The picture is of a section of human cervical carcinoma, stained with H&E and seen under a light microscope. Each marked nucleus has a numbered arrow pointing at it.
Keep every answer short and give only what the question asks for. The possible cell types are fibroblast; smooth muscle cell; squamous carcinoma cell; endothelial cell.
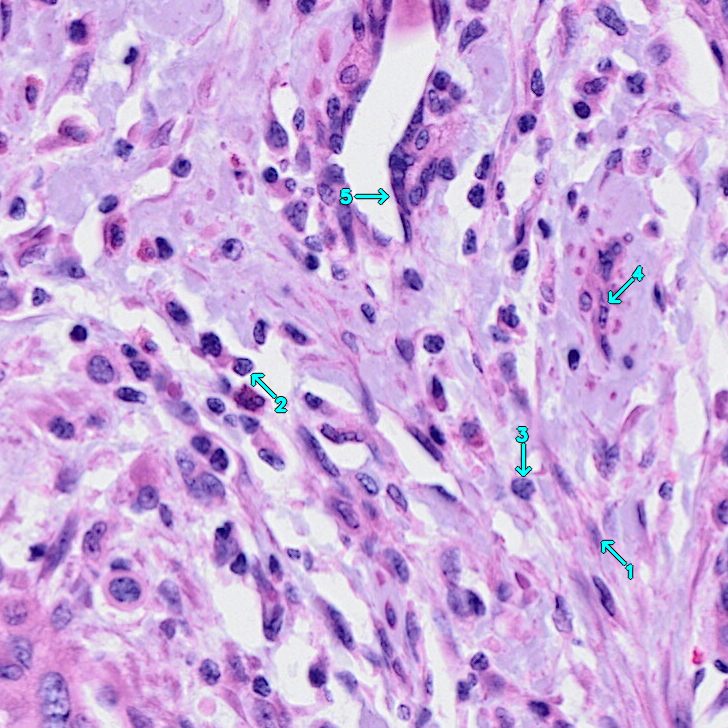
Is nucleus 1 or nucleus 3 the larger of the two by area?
3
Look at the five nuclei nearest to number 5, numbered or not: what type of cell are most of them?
endothelial cell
